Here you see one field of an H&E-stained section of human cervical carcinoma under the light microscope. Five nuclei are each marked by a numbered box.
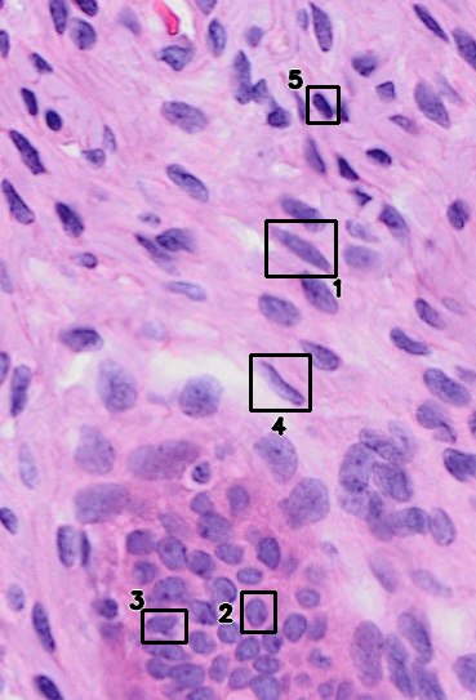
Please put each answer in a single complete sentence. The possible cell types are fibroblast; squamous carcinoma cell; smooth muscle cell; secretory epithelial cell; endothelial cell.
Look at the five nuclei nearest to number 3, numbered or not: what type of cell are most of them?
Most of the five nuclei nearest to number 3 are those of secretory epithelial cells.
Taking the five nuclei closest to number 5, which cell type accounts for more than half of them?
Of the five nuclei nearest to number 5, most belong to fibroblasts.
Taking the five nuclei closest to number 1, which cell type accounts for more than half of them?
Fibroblasts account for more than half of the five nuclei nearest to number 1.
